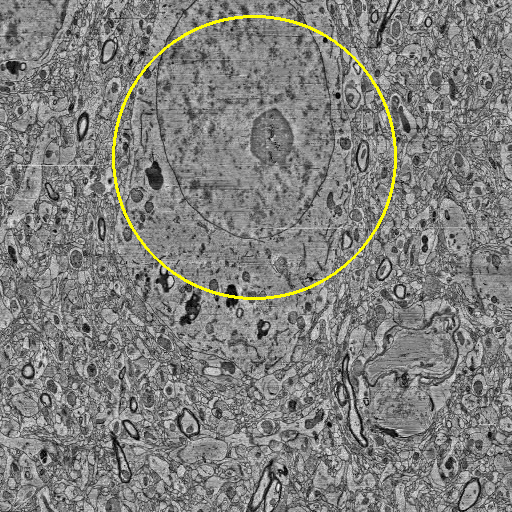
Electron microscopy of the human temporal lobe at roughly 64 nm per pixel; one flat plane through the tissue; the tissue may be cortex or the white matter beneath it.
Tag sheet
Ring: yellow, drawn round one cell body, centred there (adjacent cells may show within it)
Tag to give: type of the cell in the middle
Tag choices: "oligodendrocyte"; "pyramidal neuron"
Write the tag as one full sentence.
I tag the cell centred in the yellow ring as a pyramidal neuron in this picture.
